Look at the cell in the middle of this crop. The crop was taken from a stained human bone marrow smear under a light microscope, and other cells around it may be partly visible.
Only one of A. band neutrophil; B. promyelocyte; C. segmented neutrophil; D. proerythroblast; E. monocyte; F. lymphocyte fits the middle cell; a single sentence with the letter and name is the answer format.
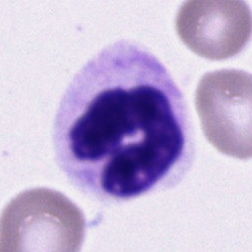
The cell right in the middle is a band neutrophil, so option A is the one.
